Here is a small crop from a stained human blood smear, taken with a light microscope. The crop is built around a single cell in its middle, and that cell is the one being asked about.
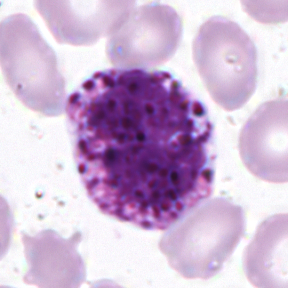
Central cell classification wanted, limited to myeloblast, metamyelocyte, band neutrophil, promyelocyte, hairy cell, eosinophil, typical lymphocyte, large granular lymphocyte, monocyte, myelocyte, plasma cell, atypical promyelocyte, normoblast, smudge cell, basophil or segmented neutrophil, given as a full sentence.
The cell found in the middle of this crop is a basophil.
